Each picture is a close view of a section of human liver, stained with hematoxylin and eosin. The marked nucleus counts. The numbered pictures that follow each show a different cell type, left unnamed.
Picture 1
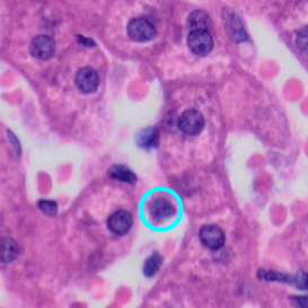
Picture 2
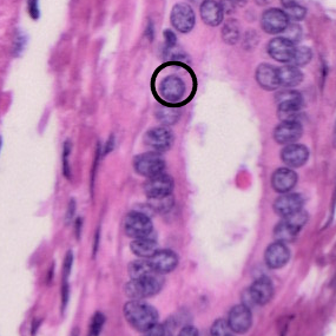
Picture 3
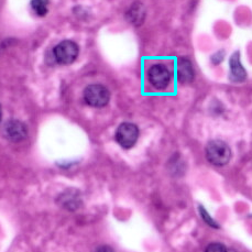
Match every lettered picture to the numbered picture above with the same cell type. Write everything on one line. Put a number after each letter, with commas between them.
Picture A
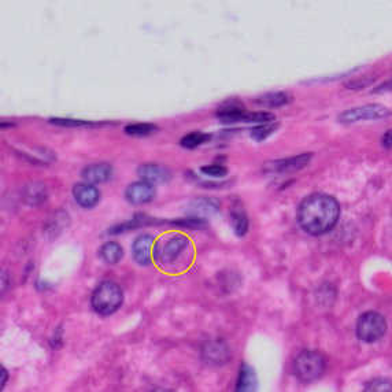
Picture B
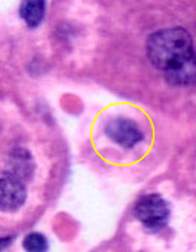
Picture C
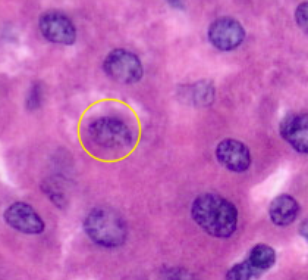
A 2, B 1, C 3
